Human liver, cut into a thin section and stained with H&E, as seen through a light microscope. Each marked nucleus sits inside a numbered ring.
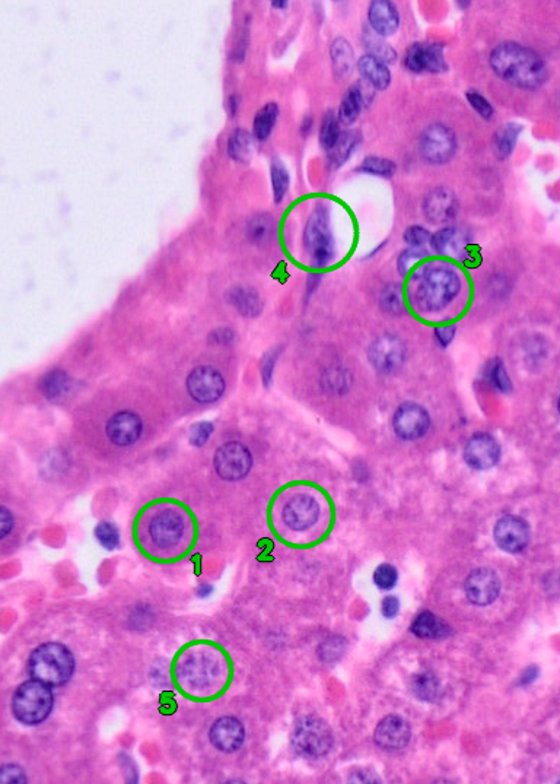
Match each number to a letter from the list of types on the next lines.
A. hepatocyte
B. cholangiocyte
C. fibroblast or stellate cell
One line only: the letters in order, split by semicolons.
A; A; B; C; A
